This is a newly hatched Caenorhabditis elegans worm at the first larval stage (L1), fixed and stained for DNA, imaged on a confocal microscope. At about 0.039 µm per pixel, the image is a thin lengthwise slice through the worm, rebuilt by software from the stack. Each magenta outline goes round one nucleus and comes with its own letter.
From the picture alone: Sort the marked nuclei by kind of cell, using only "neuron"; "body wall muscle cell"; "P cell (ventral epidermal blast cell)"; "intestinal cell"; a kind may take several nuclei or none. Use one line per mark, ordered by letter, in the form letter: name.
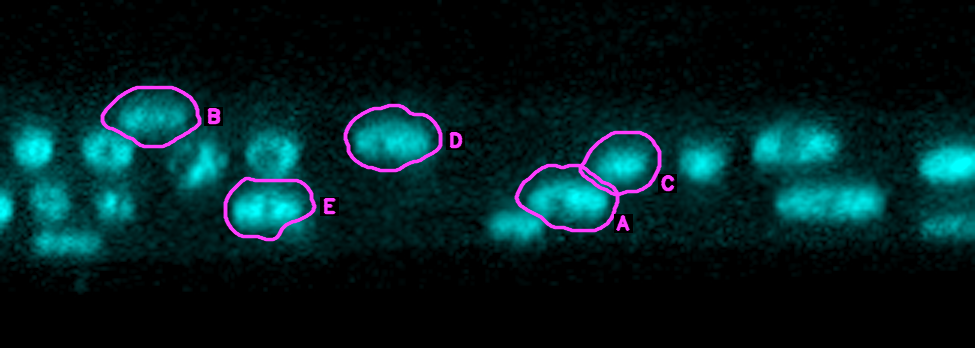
A: body wall muscle cell
B: P cell (ventral epidermal blast cell)
C: neuron
D: body wall muscle cell
E: body wall muscle cell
